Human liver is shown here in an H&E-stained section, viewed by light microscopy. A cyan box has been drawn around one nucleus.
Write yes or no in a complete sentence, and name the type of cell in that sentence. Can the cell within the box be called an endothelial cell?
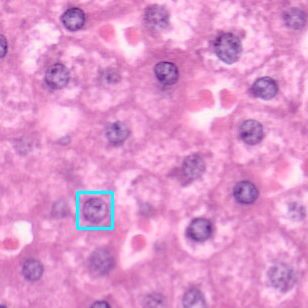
No, the cell within the box is a hepatocyte, and it is not an endothelial cell.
